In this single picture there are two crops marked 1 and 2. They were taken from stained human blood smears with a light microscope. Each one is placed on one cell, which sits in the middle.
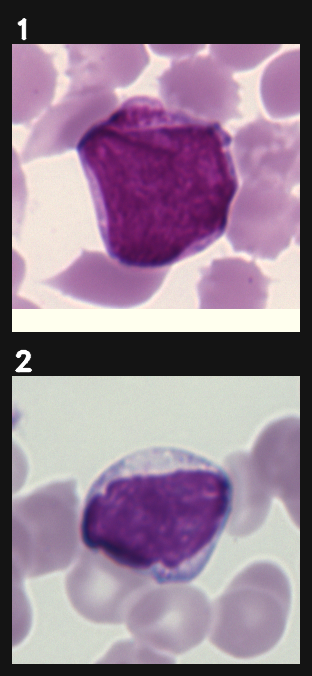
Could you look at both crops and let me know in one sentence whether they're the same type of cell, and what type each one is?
No, crop 2 holds a large granular lymphocyte, while crop 1 holds a blast.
